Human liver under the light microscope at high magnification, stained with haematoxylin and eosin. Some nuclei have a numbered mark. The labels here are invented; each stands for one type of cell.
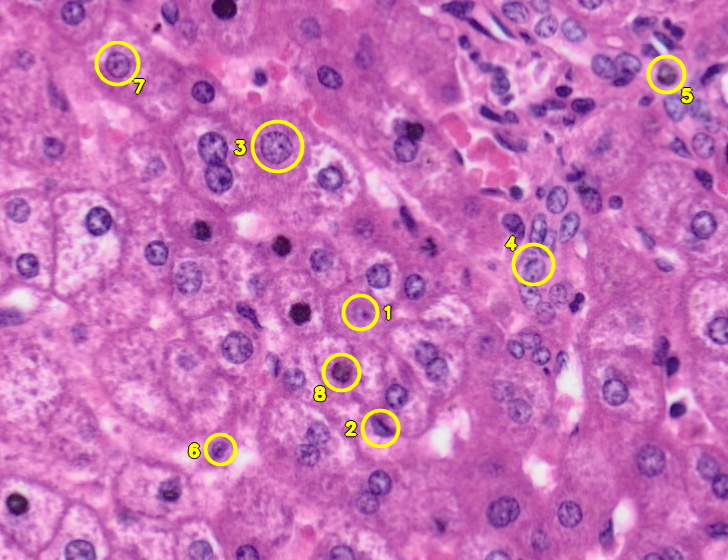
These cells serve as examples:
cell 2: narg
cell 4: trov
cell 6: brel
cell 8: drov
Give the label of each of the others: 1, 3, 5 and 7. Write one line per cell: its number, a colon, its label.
1: drov
3: drov
5: trov
7: drov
